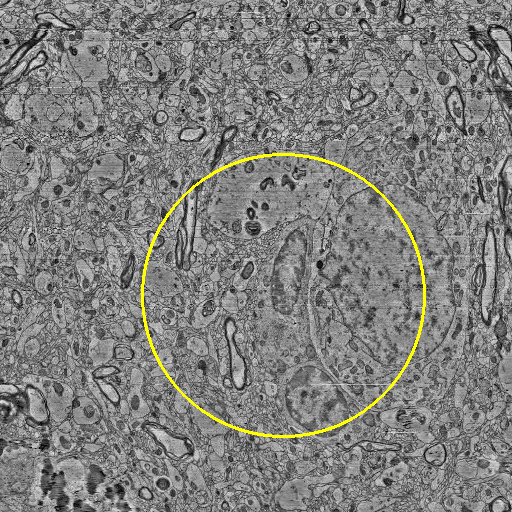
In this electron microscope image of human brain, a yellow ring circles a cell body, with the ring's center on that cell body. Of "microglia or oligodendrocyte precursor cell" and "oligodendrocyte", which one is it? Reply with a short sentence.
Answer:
It is an oligodendrocyte at the center of the ring.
